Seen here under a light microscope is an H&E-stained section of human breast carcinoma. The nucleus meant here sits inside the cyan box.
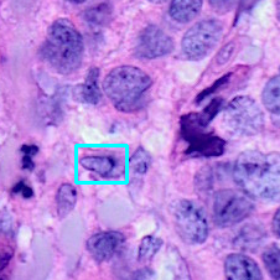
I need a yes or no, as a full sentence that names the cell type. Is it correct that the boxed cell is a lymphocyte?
No, rather than being a lymphocyte, the boxed cell is a macrophage, monocyte or dendritic cell.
